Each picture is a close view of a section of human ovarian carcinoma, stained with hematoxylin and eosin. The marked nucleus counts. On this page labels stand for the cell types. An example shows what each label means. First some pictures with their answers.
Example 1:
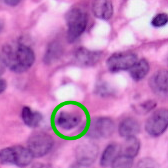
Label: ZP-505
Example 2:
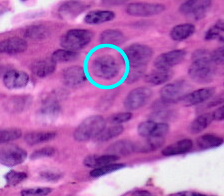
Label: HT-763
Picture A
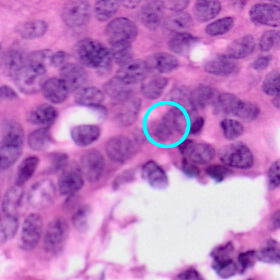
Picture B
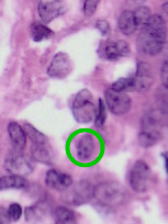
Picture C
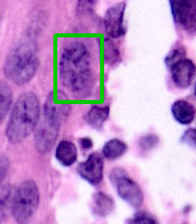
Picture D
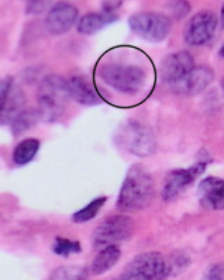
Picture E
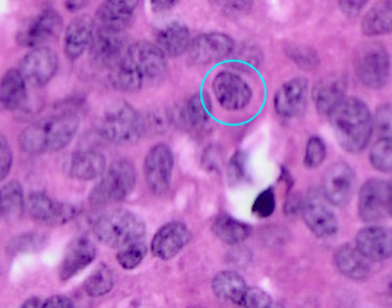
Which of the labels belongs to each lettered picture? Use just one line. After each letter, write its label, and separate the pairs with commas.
A HT-763, B ZP-505, C HT-763, D HT-763, E ZP-505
